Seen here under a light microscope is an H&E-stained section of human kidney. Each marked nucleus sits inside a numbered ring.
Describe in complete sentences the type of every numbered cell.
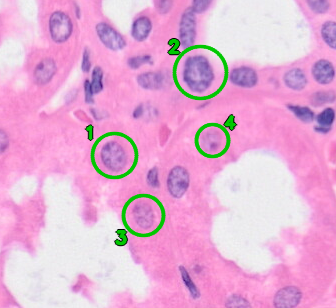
Cells 1, 3 and 4 are proximal tubule cells. Cell 2 is a collecting duct cell.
